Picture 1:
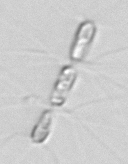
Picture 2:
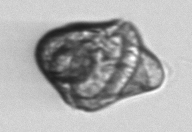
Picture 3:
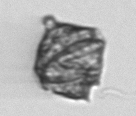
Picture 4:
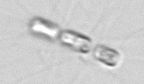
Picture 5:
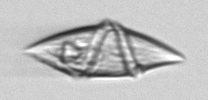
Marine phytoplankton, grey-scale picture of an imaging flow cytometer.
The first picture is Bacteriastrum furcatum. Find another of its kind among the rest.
Picture 4.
